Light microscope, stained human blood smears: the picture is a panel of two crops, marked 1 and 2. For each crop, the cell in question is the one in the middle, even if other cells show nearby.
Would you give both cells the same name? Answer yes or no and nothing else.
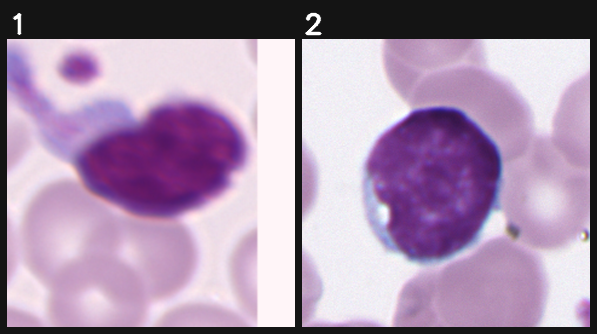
yes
